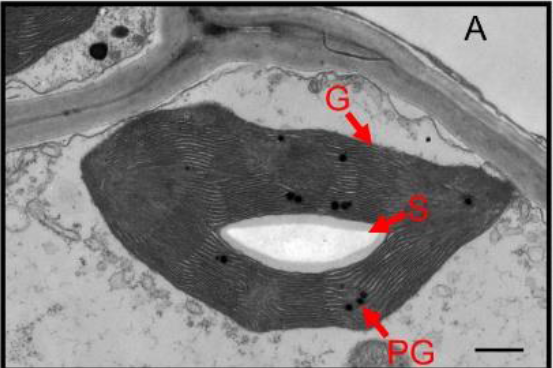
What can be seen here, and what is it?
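A single large starch grain appears as a white, elongated space in the middle. A few small, round, electron-dense plastoglobules are scattered among the membranes. The envelope is smooth and the membranes run in an orderly way along the long axis.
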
